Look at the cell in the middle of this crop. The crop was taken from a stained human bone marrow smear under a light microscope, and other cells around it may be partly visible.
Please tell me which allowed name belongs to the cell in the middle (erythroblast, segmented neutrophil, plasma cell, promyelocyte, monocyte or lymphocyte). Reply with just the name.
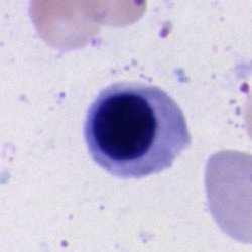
erythroblast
